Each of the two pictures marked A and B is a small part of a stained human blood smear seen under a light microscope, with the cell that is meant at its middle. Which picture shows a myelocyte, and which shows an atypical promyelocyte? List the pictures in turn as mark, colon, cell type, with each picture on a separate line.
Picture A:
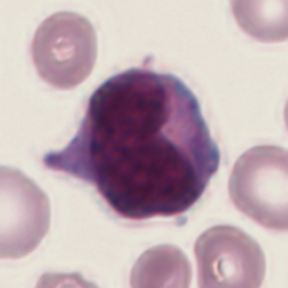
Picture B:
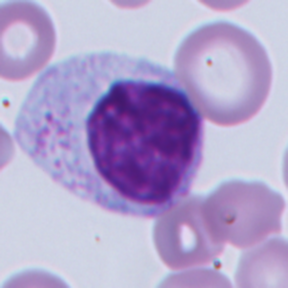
A: atypical promyelocyte
B: myelocyte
